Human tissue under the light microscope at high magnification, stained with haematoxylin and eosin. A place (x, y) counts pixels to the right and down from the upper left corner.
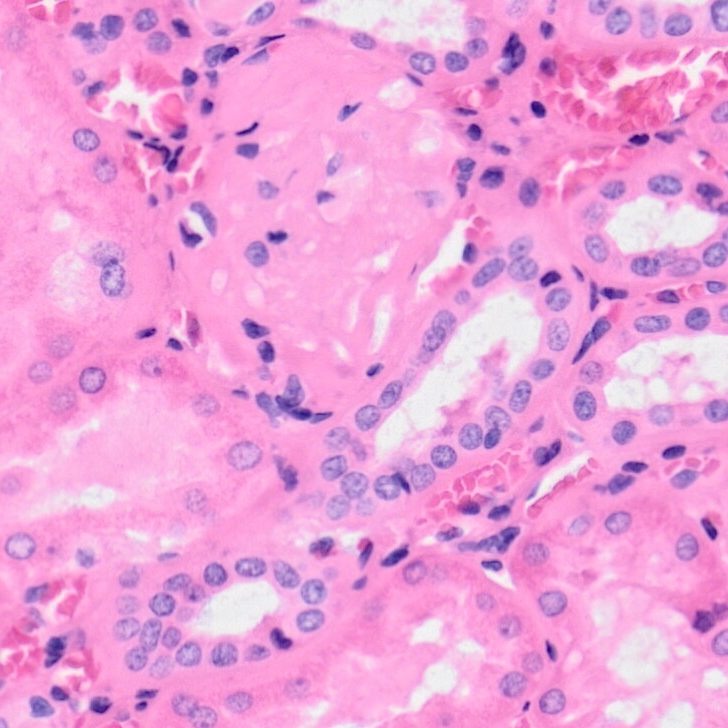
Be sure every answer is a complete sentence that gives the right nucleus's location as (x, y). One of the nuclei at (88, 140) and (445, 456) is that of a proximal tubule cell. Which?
Out of the two, it is the nucleus at (88, 140) that belongs to a proximal tubule cell.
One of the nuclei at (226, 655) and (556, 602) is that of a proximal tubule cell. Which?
The nucleus of a proximal tubule cell is the one at (556, 602).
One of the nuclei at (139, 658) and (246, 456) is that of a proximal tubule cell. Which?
The nucleus of a proximal tubule cell lies at (246, 456), not at the other position.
